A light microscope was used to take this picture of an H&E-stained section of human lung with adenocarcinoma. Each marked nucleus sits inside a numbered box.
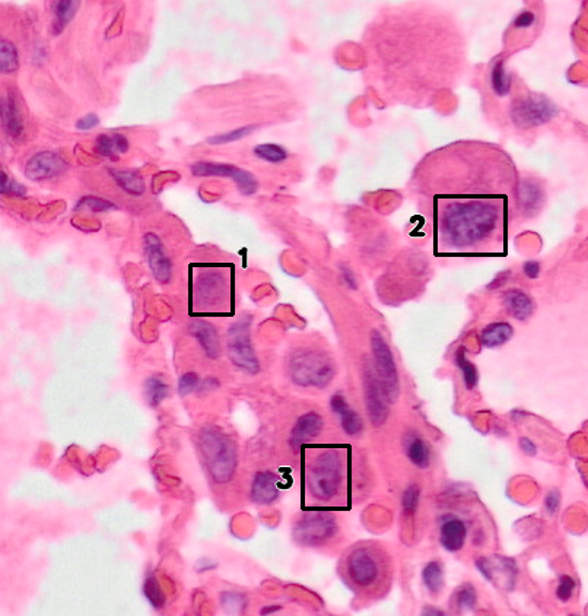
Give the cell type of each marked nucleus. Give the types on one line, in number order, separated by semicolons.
macrophage or monocyte; carcinoma cell; macrophage or monocyte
